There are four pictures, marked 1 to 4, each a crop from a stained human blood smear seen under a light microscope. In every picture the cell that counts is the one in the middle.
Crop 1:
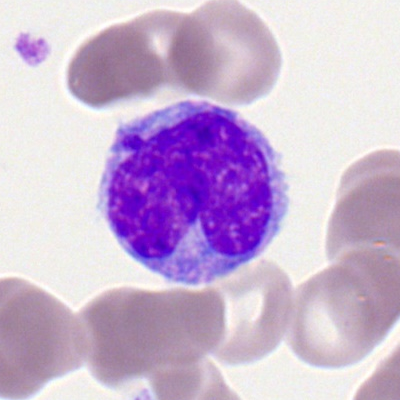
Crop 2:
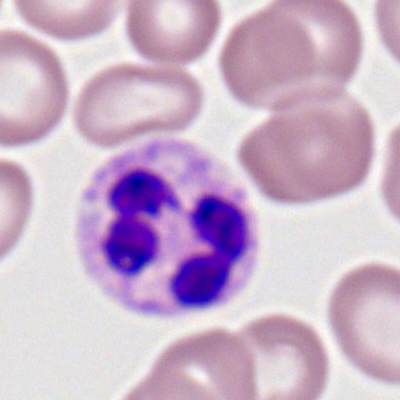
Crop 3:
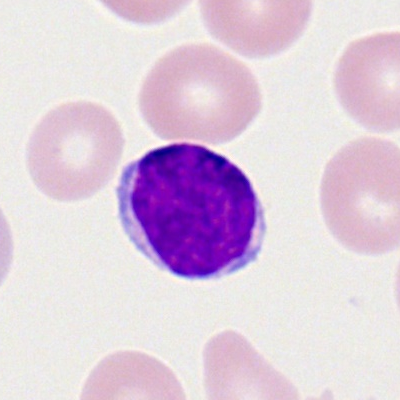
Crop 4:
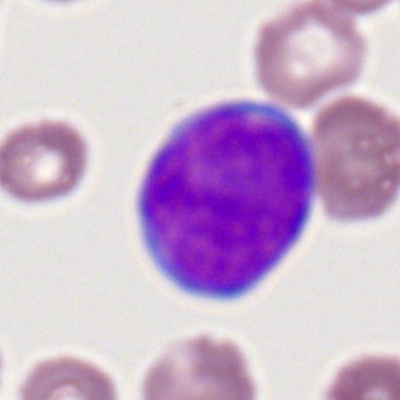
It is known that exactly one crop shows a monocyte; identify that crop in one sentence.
Of the labeled crops, the one with a monocyte is crop 1.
